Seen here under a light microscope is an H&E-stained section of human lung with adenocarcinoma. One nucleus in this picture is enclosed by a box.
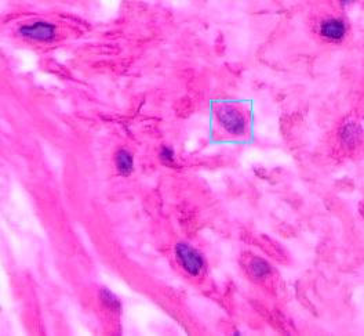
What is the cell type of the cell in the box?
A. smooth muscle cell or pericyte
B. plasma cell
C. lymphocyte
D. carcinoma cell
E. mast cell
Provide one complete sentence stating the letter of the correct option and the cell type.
Option A is correct; the cell in the box is a smooth muscle cell or pericyte.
